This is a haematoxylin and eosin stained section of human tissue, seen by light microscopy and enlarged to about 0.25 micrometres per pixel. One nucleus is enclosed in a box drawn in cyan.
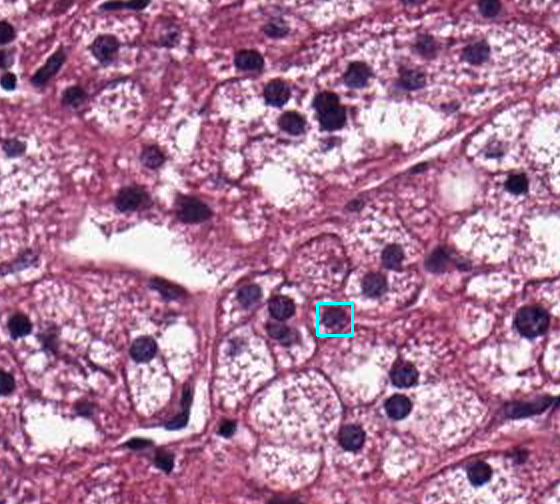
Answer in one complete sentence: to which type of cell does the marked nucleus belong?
The marked nucleus, in this picture, belongs to an adrenal cortical cell.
